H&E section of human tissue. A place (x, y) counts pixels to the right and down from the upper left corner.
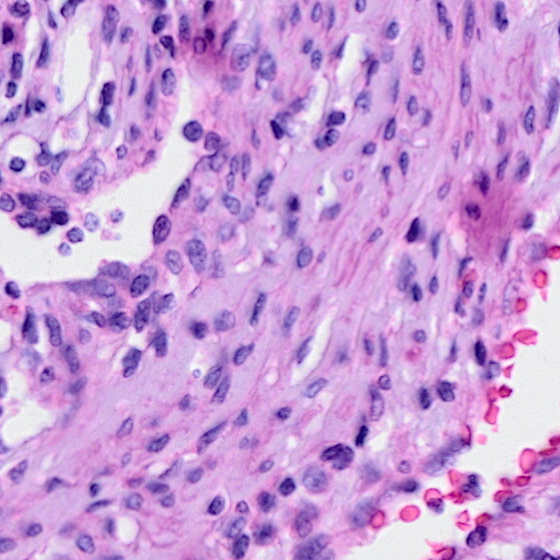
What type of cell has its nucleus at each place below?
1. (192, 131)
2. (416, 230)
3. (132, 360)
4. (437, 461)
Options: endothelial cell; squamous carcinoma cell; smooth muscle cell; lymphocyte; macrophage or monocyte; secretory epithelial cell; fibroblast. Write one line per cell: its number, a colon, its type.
1: lymphocyte
2: lymphocyte
3: lymphocyte
4: endothelial cell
